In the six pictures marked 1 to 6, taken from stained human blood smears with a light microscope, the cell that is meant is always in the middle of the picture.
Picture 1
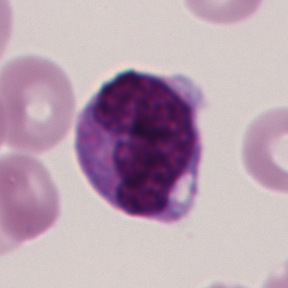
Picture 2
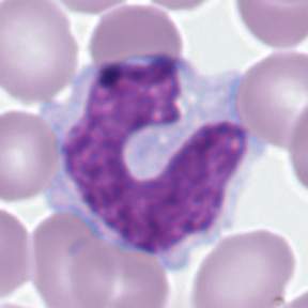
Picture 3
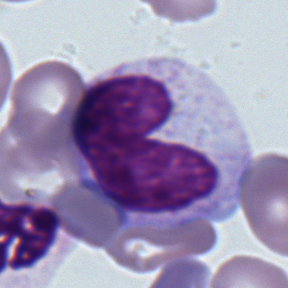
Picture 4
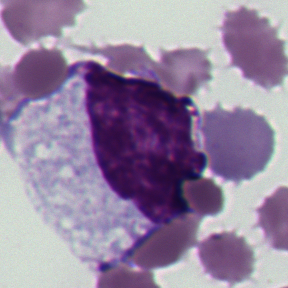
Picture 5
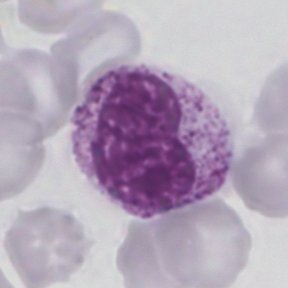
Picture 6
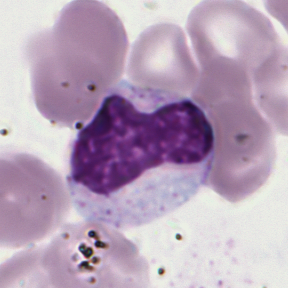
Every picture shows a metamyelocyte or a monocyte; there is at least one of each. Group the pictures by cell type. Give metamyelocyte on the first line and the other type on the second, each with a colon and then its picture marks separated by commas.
metamyelocyte: 3, 5, 6
monocyte: 1, 2, 4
